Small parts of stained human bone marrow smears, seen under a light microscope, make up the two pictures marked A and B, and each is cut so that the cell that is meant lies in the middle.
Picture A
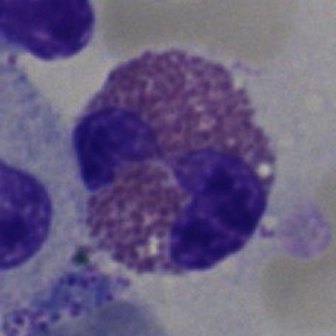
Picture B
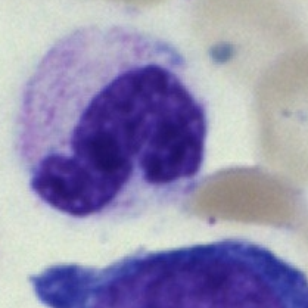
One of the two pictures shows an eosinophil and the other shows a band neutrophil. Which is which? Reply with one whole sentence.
The cell in picture A is an eosinophil, and the one in picture B is a band neutrophil.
